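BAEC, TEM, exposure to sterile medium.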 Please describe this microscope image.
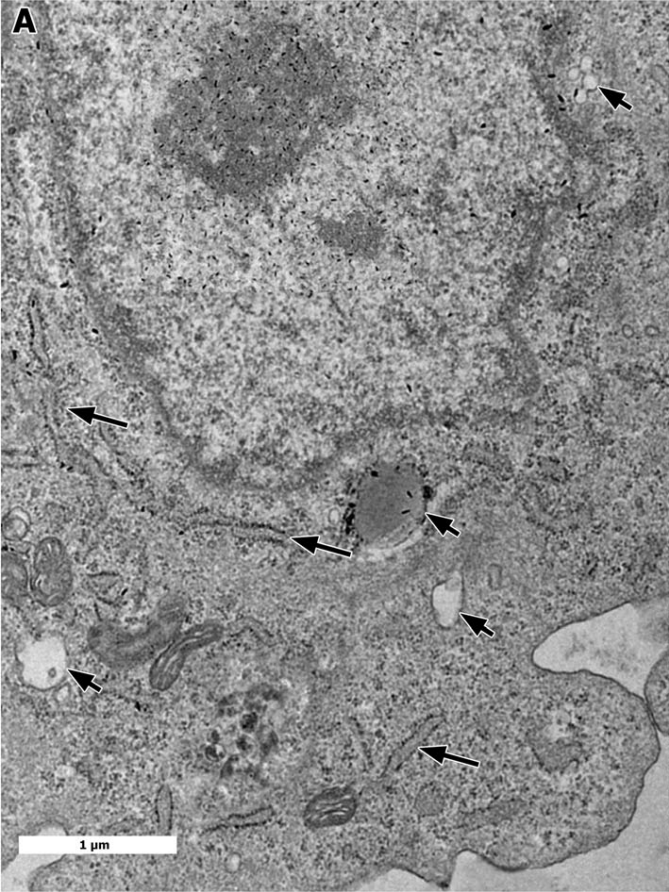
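A large nucleus with finely granular chromatin and a denser nucleolus fills the upper part, bounded by a nuclear envelope. In the surrounding cytoplasm run long, thin membrane cisternae of rough endoplasmic reticulum, some slightly widened. Several mitochondria with clear cristae lie at the lower left. Scattered round, pale, membrane-bound spaces sit in the cytoplasm, one containing dense material near the nucleus. The cell edge at lower right is smooth. These features fit mild dilatation of the rough endoplasmic reticulum with cytoplasmic vacuolation.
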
